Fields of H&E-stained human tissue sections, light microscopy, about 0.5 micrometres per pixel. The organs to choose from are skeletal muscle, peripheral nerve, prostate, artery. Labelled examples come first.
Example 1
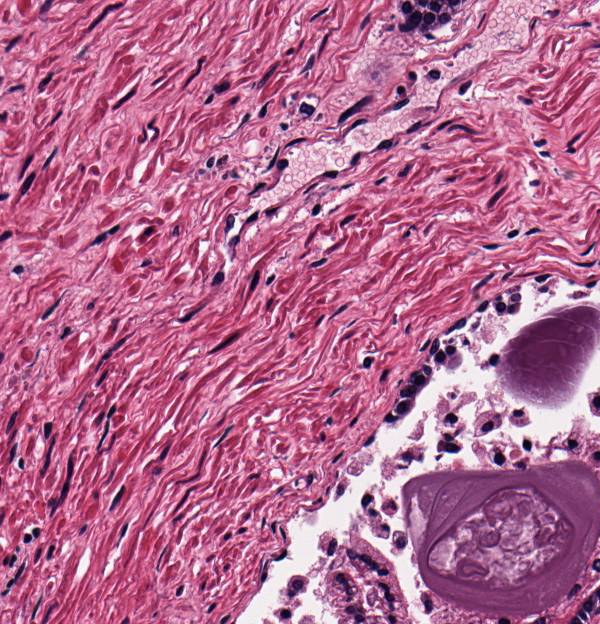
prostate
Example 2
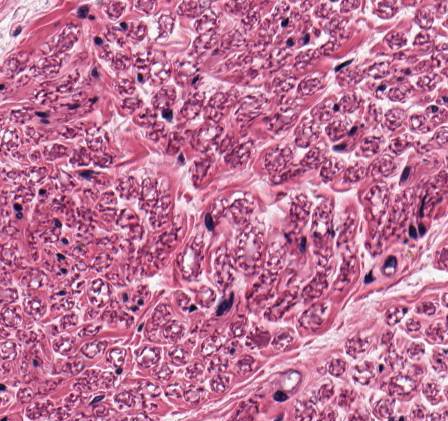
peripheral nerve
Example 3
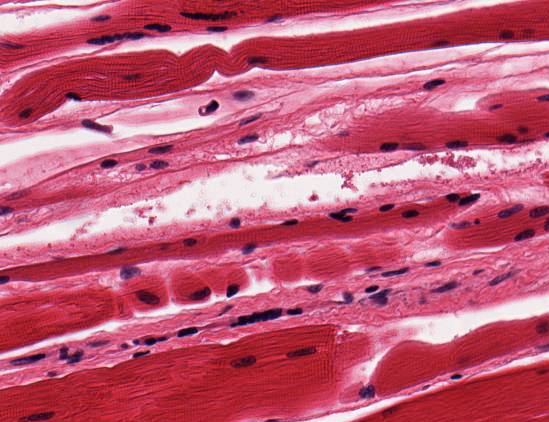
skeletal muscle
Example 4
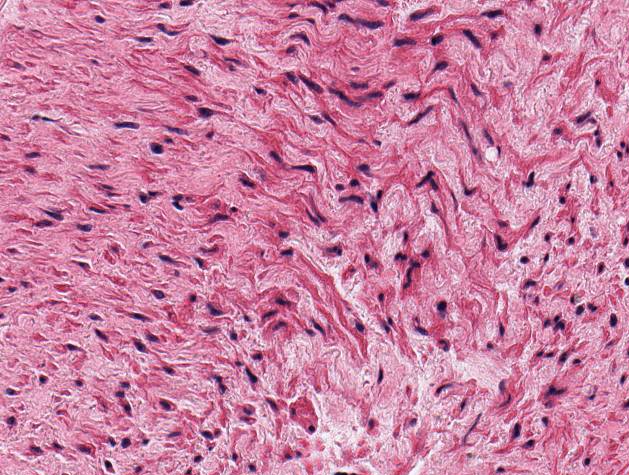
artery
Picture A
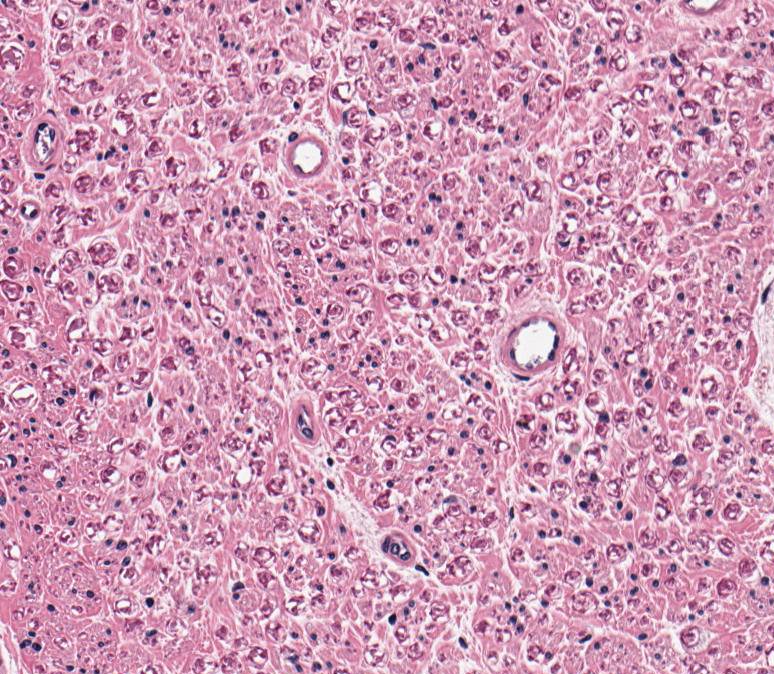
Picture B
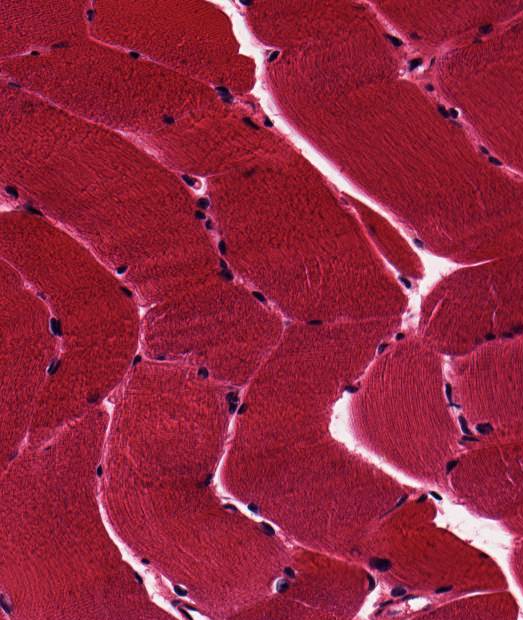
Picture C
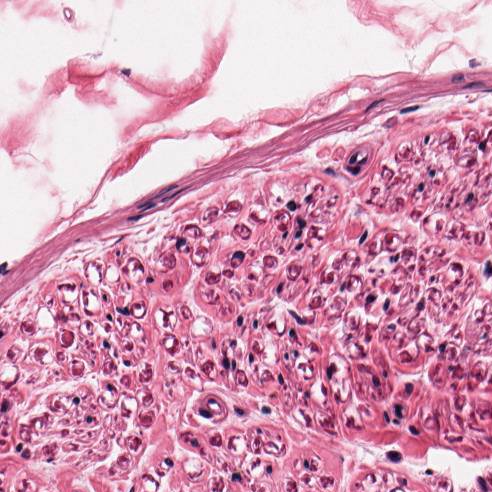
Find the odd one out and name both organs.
B differs and shows skeletal muscle; the others show peripheral nerve.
